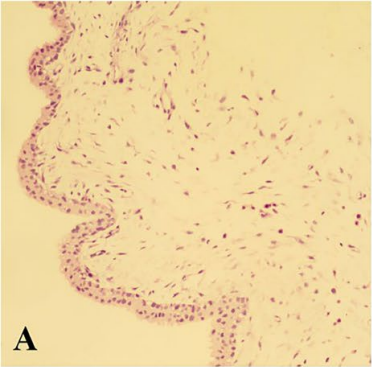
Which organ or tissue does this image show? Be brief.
Chorionic villi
